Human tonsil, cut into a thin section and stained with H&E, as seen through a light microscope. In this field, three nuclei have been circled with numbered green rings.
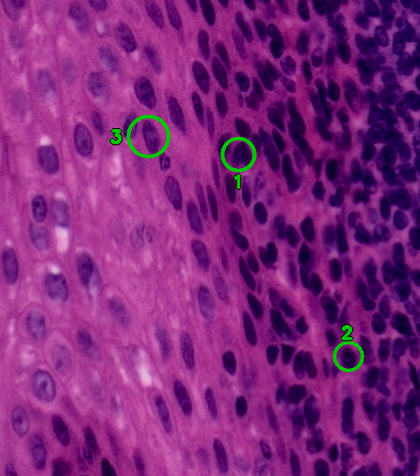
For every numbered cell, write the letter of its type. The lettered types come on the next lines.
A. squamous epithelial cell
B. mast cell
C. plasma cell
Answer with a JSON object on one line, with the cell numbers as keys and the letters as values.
{"1": "A", "2": "C", "3": "A"}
